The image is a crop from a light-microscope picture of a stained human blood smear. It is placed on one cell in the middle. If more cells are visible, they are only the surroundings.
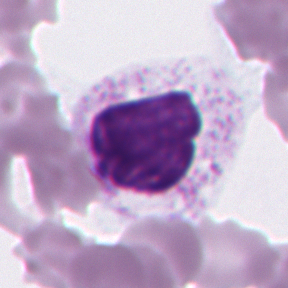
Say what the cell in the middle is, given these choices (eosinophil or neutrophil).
neutrophil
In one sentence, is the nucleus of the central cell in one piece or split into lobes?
The nucleus holds together as a single compact mass, round, oval or kidney-like.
